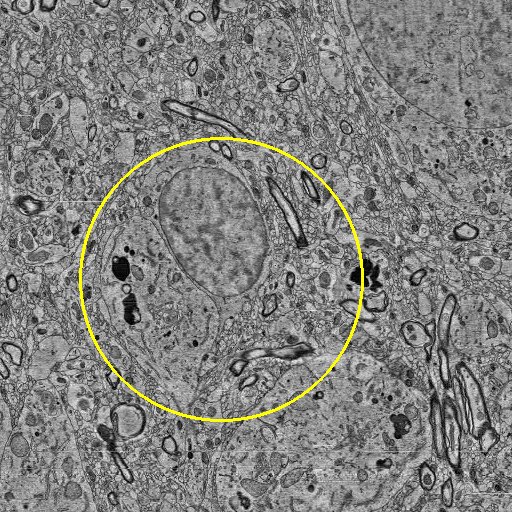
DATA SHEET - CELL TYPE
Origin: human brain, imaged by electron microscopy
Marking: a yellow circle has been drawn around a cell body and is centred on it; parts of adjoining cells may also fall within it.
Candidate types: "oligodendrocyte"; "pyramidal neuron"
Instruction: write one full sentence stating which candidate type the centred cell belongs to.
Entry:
The cell body at the centre of the yellow ring in this micrograph belongs to an oligodendrocyte.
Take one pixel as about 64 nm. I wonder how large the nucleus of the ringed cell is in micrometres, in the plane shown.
In this plane the nucleus is about 9 micrometres by 7.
